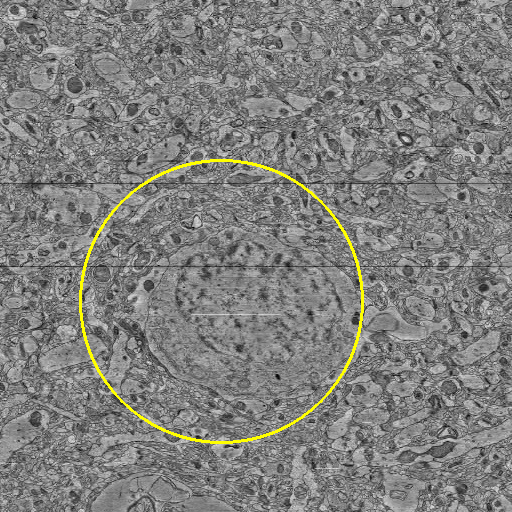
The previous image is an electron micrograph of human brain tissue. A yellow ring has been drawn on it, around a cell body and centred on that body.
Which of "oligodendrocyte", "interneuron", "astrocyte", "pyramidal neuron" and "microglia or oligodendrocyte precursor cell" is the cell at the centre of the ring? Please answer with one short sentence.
The cell body at the centre of the ring belongs to an interneuron.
